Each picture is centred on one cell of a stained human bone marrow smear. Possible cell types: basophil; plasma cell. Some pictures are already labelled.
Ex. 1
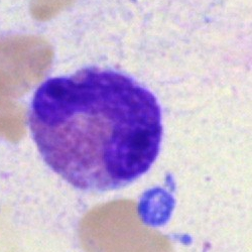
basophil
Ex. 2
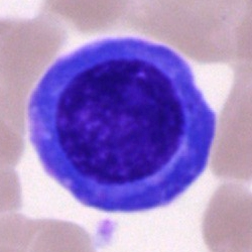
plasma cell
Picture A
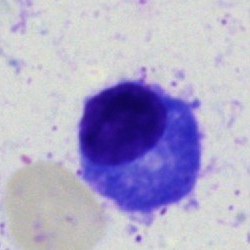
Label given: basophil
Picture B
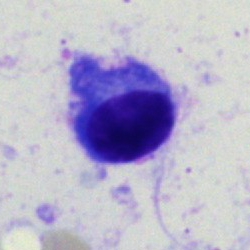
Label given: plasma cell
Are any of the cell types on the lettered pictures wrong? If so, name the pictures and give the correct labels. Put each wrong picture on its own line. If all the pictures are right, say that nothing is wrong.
A: change basophil to plasma cell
